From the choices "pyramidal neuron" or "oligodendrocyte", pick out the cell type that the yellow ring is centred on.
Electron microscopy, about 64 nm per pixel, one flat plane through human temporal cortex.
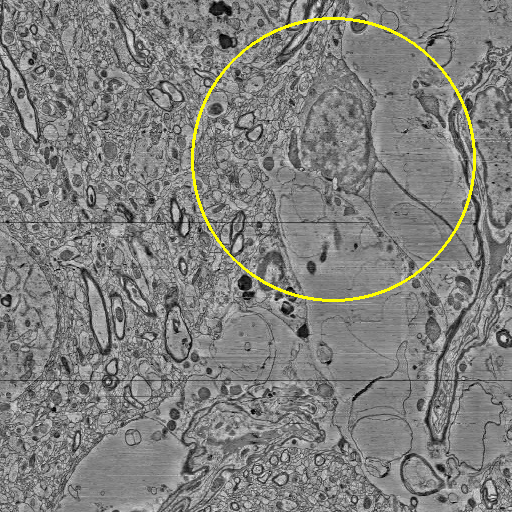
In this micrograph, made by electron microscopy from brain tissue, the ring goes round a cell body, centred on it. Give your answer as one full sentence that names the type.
The yellow ring is centred on an oligodendrocyte, whose cell body it encircles in the picture.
